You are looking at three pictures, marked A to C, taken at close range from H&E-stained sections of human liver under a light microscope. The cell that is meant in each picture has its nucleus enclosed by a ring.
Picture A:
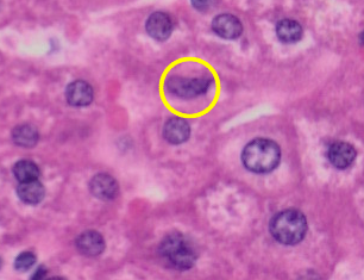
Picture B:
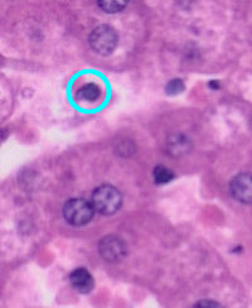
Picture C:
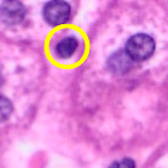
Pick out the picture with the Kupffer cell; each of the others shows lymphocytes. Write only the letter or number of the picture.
A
